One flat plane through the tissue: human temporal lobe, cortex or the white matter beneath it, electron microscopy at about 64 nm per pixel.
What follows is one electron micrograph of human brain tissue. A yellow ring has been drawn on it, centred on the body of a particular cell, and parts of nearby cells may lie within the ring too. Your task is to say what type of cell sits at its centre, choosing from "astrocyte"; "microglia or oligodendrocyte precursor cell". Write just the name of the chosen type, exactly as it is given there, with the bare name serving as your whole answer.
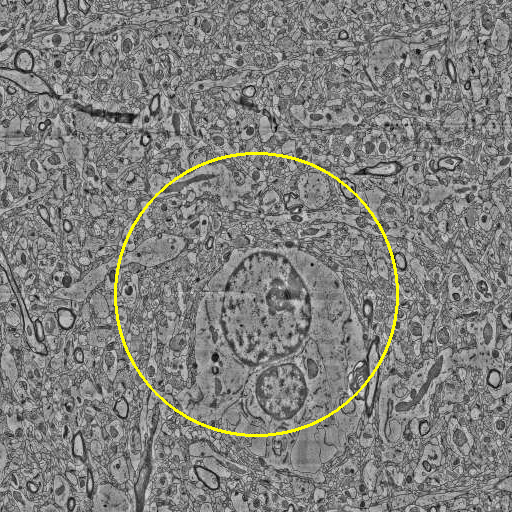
astrocyte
